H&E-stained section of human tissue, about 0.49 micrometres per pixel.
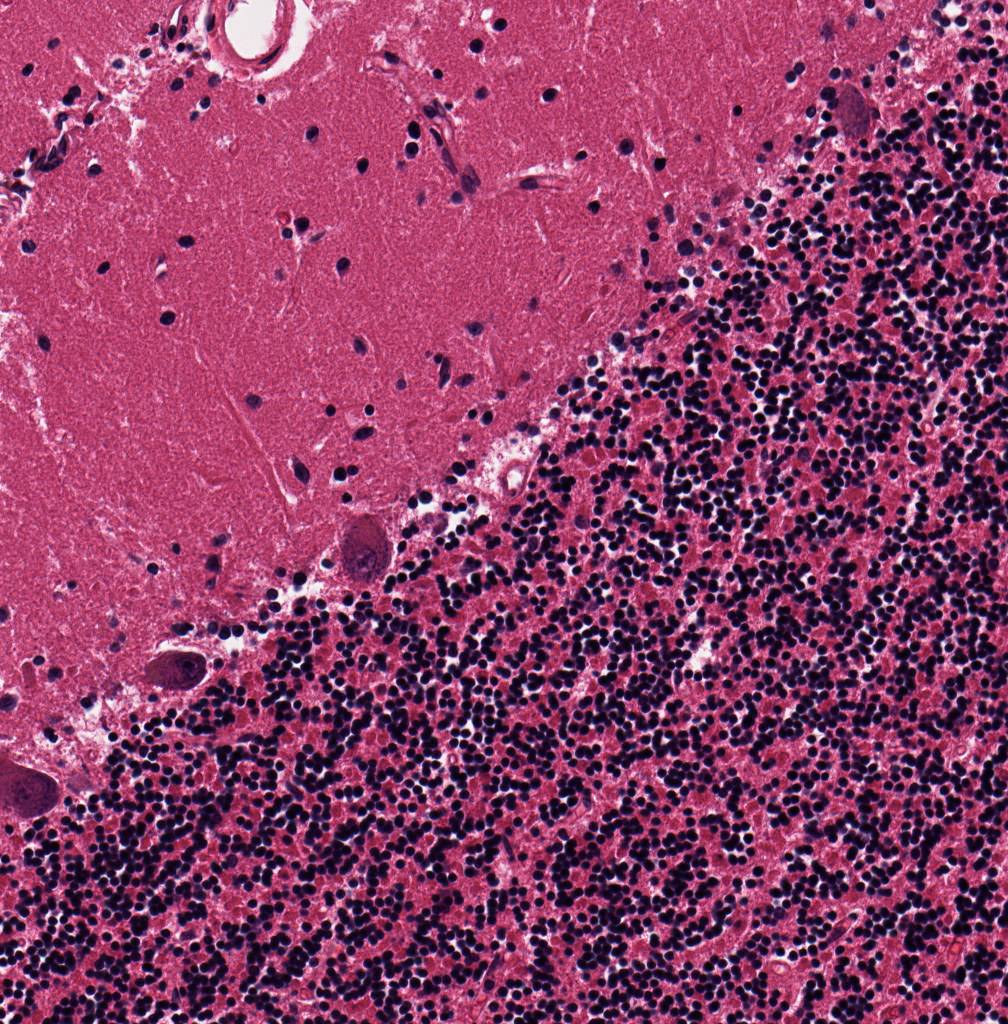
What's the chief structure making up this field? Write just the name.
granular layer of the cerebellum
